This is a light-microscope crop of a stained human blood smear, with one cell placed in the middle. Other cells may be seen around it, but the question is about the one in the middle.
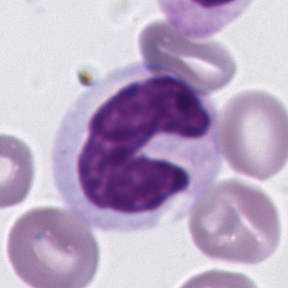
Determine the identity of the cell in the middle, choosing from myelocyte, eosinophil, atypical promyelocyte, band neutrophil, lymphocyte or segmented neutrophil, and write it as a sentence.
The central cell in this smear crop is a band neutrophil.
